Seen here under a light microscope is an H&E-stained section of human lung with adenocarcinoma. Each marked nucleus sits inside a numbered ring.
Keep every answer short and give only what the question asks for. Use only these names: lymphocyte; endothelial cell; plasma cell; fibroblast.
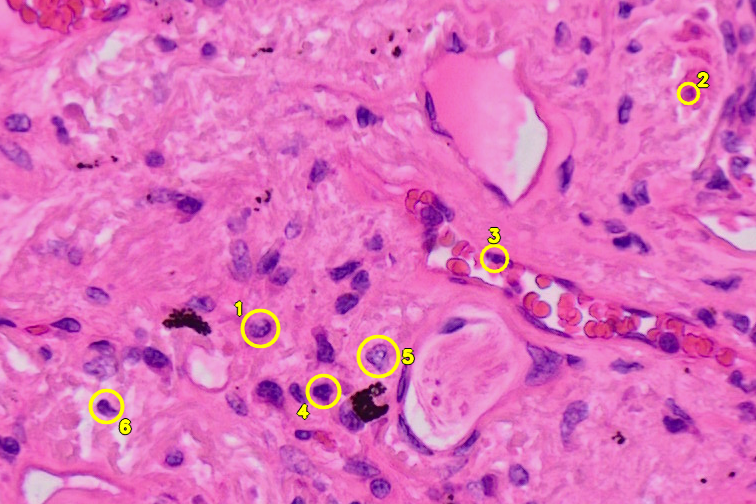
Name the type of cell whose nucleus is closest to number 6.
fibroblast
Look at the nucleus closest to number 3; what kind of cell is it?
endothelial cell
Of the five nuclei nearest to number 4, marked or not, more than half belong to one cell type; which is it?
plasma cell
